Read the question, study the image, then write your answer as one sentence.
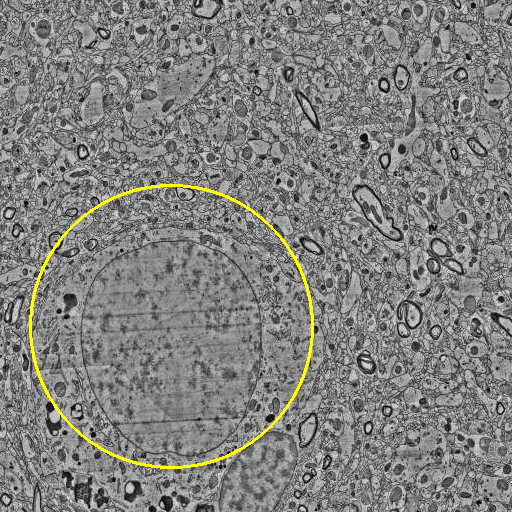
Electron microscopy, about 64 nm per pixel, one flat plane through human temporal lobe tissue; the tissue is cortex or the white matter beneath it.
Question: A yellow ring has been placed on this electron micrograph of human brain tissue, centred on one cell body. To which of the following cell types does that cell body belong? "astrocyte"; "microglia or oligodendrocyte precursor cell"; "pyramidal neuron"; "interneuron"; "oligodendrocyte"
That cell body belongs to a pyramidal neuron.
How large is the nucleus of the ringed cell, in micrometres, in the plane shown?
The ringed cell's nucleus measures approximately 14 by 12 micrometres in this plane.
